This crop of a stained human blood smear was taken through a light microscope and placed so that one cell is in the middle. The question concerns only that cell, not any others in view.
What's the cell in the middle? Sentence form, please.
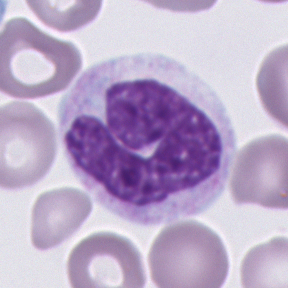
The cell in the middle of this crop is a band neutrophil.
